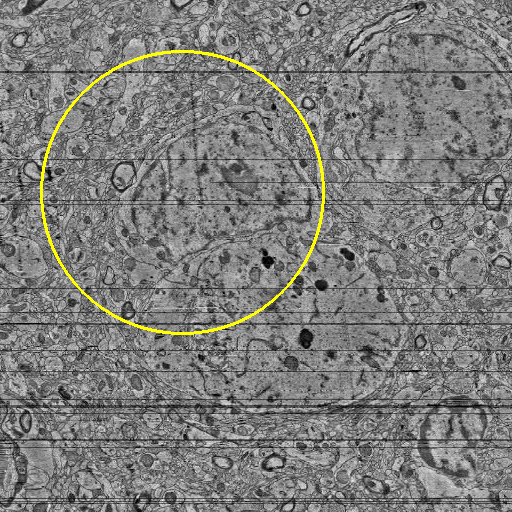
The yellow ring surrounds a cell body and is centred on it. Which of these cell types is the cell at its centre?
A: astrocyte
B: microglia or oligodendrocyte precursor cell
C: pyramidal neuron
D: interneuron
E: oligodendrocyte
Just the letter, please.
D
